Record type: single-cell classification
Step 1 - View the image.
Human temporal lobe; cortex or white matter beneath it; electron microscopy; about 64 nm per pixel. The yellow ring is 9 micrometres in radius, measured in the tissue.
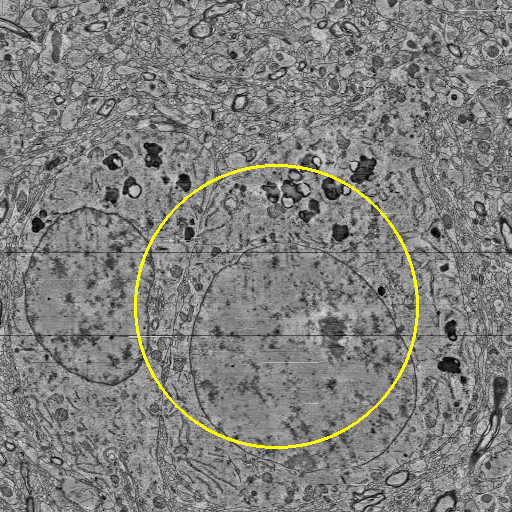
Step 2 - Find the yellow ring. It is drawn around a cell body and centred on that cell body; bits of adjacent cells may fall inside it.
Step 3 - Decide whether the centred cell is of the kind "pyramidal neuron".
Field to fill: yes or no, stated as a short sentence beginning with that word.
Yes, the centred cell is of that kind.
